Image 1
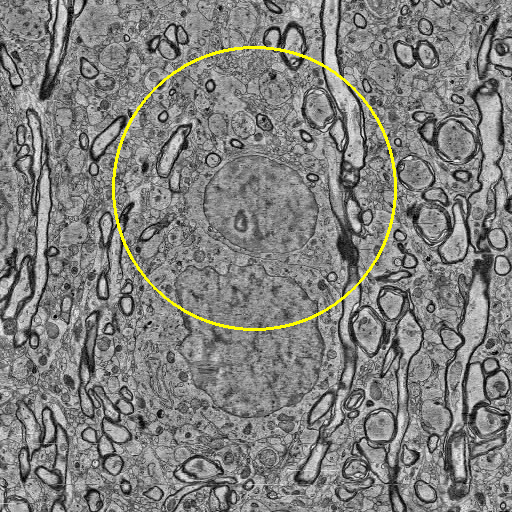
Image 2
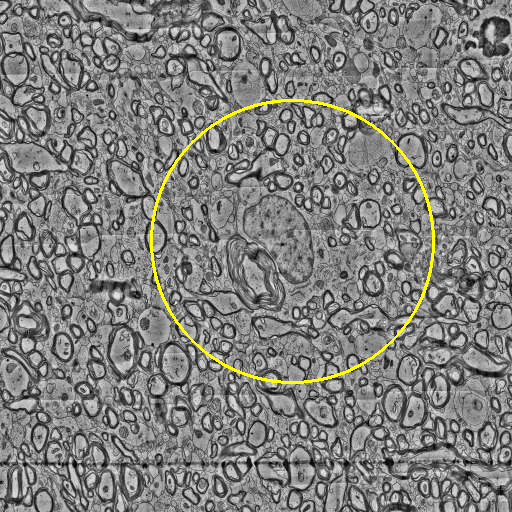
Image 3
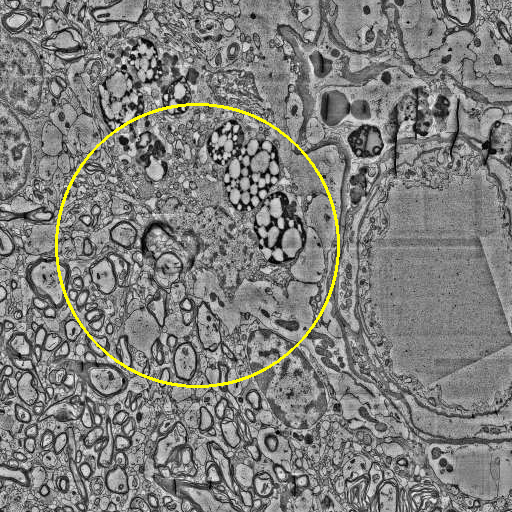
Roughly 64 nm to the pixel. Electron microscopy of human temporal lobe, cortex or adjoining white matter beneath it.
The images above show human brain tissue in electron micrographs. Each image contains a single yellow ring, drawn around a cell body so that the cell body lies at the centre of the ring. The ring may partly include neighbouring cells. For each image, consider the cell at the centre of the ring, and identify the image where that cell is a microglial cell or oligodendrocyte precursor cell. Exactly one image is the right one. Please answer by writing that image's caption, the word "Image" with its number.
Image 2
